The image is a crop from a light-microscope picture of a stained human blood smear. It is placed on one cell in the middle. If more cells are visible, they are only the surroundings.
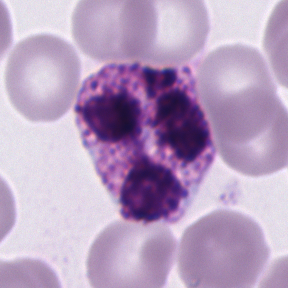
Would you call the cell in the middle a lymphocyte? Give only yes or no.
no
